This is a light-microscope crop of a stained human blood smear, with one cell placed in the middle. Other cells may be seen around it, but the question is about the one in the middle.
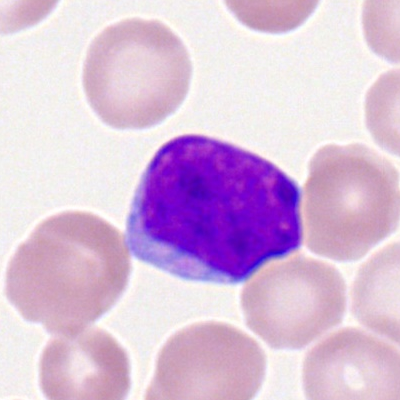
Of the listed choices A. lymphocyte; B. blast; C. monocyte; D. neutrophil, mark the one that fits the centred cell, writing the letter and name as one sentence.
Well, the cell in the middle is a blast, making option B right.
